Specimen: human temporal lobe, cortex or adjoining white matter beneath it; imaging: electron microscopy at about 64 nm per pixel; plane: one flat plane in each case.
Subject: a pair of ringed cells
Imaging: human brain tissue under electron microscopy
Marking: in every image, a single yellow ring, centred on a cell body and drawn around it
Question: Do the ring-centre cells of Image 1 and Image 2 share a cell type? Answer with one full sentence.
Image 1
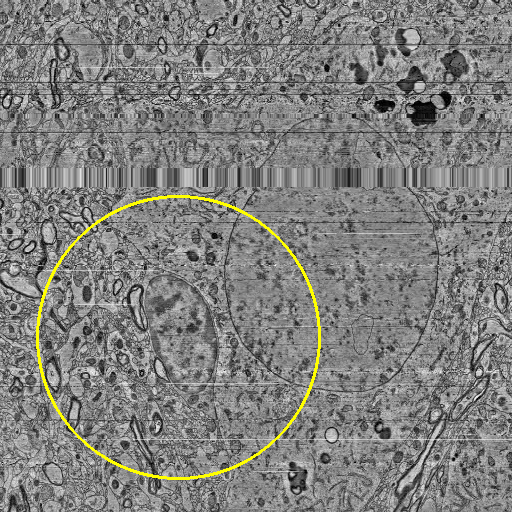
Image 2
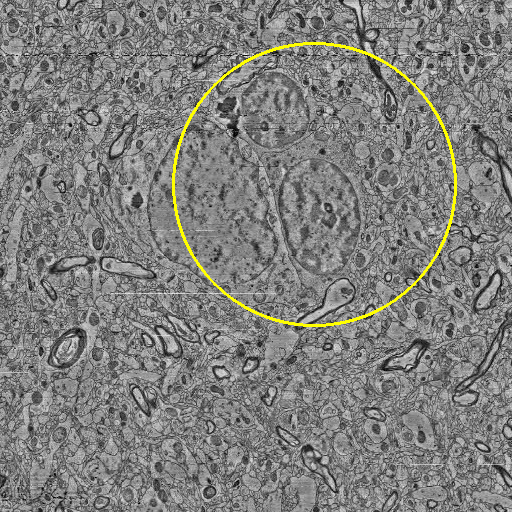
Yes, at each ring's centre in the images sits a cell of one common type.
